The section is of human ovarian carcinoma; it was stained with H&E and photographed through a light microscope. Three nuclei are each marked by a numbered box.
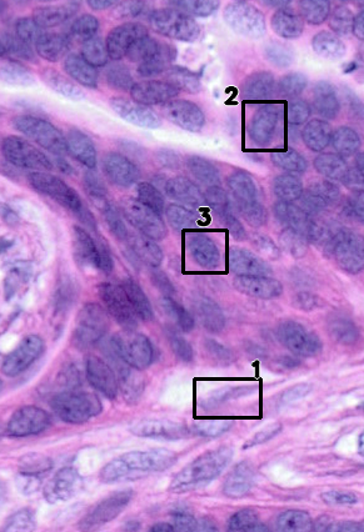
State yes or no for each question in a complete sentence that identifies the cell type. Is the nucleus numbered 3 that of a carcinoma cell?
Yes, that is so; number 3 marks a carcinoma cell.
